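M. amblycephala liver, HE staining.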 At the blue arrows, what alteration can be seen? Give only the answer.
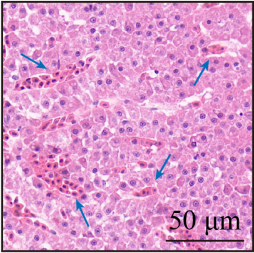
Erythrocyte infiltration.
